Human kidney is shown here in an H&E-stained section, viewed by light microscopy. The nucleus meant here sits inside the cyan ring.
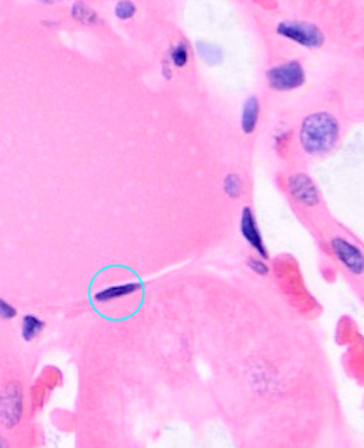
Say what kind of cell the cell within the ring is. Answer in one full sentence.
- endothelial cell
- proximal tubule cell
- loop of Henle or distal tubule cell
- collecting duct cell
As to its cell type, the cell within the ring is an endothelial cell.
